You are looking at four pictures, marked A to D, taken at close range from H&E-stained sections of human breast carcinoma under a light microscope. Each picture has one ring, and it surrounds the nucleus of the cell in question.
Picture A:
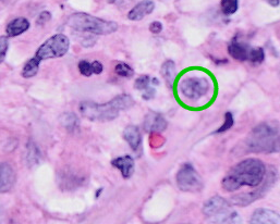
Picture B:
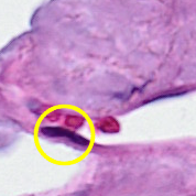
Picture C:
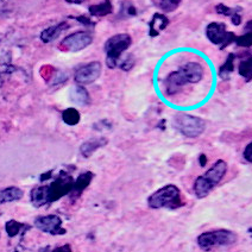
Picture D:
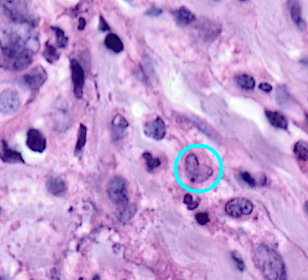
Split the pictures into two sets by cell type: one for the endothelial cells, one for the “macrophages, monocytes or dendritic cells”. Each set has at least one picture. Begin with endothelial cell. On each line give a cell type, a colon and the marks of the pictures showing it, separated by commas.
endothelial cell: B
macrophage, monocyte or dendritic cell: A, C, D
